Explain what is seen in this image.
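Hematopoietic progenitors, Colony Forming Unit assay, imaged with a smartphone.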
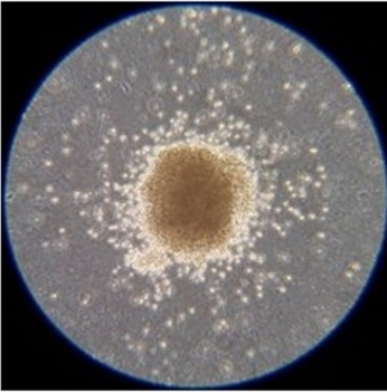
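At the centre lies a large, densely packed, rounded mass of cells that appears brown and opaque, with individual cells not distinguishable inside it. Around this dense core the cells thin out into a broad halo of small, round, bright, refractile cells, crowded near the edge of the mass and increasingly scattered toward the periphery of the field. Single round cells are dispersed across the grey background of the whole field. No internal cell detail such as nuclei can be made out at this magnification.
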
